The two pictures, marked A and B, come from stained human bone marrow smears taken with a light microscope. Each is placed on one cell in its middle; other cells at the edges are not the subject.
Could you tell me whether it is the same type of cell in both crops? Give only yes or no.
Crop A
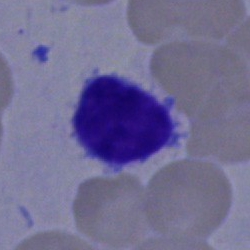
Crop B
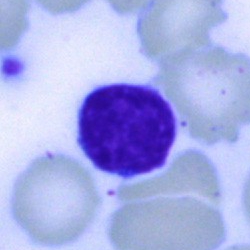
yes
